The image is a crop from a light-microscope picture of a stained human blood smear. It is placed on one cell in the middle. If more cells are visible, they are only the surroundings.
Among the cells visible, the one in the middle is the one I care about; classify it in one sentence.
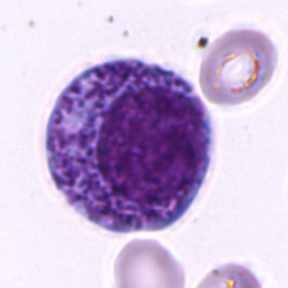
The identification for the central cell is a promyelocyte.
